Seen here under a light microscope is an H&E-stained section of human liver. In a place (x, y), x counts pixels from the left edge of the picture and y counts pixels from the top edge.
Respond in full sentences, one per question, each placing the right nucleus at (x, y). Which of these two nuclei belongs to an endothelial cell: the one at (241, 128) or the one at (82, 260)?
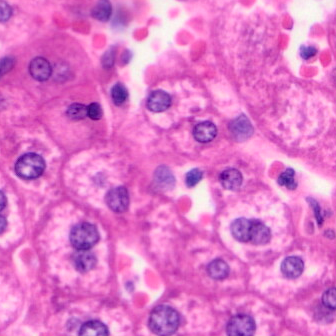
Which one belongs to an endothelial cell? The nucleus at (241, 128) does.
